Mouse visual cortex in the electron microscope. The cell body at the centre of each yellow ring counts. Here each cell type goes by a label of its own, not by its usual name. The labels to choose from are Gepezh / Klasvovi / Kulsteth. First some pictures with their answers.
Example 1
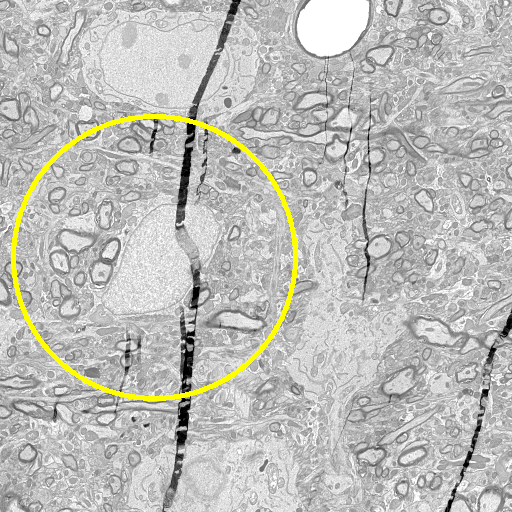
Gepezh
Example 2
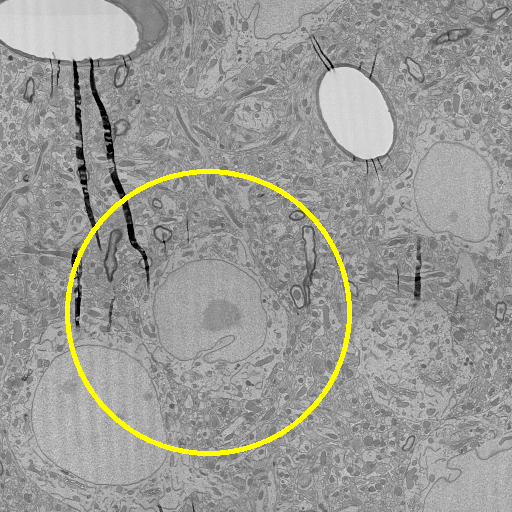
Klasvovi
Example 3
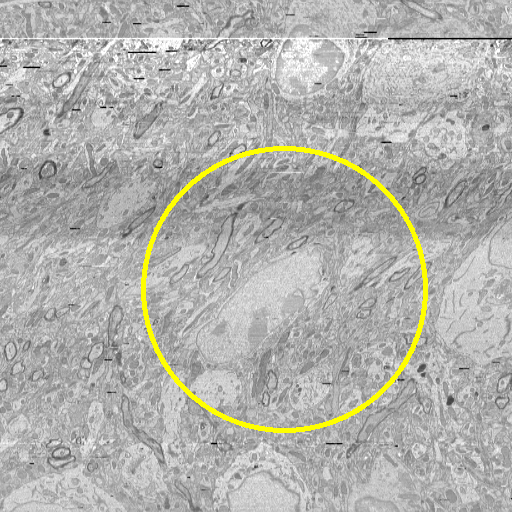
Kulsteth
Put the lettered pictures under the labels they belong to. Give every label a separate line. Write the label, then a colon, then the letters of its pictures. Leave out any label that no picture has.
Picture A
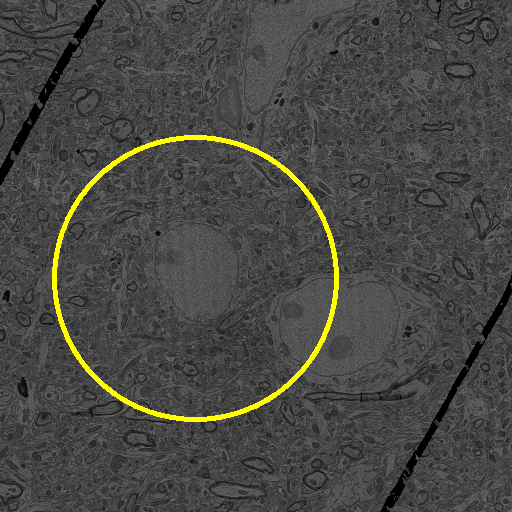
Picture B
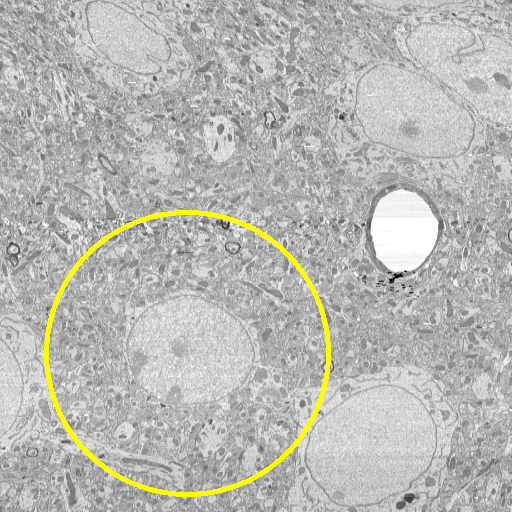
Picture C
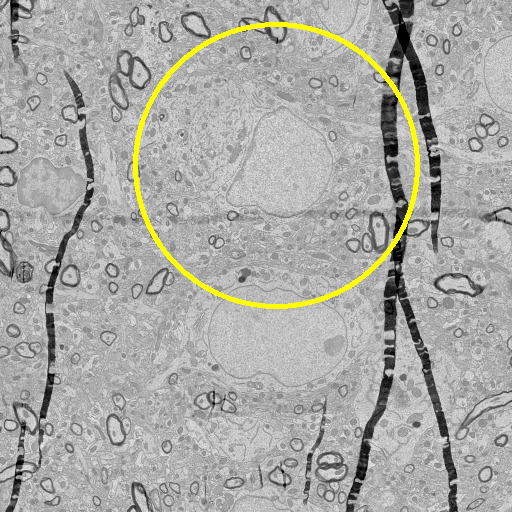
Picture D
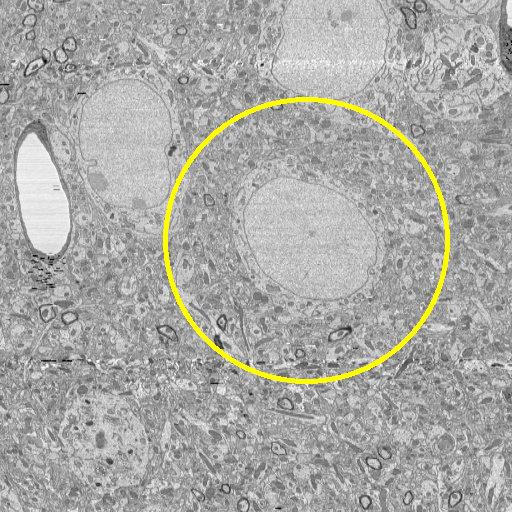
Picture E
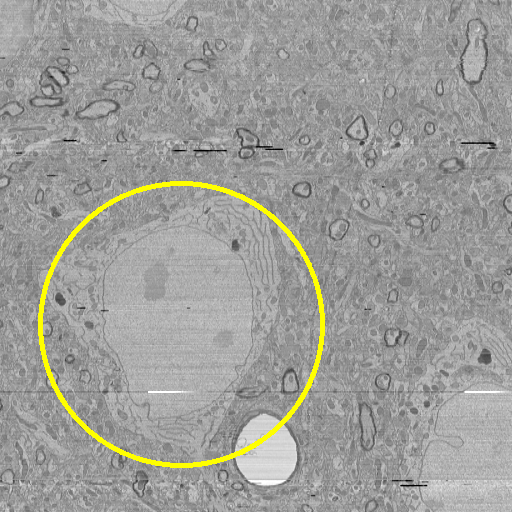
Gepezh: A, B
Klasvovi: D, E
Kulsteth: C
